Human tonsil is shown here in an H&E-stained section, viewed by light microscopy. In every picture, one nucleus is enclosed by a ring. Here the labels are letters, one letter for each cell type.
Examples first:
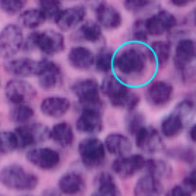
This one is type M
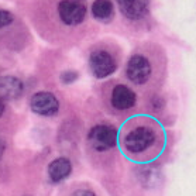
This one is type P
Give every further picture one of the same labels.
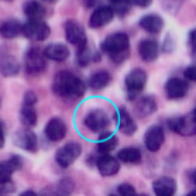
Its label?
type M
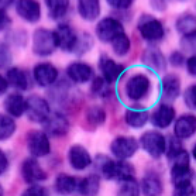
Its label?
type M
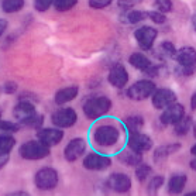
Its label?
type P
